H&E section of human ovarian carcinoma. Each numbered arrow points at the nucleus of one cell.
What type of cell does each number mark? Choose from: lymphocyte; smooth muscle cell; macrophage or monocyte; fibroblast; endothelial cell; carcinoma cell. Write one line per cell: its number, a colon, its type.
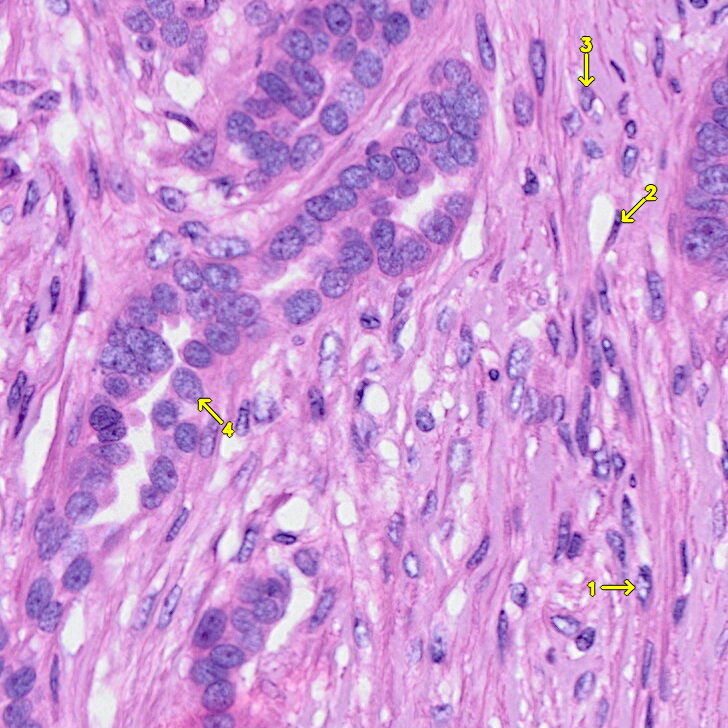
1: fibroblast
2: fibroblast
3: fibroblast
4: carcinoma cell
